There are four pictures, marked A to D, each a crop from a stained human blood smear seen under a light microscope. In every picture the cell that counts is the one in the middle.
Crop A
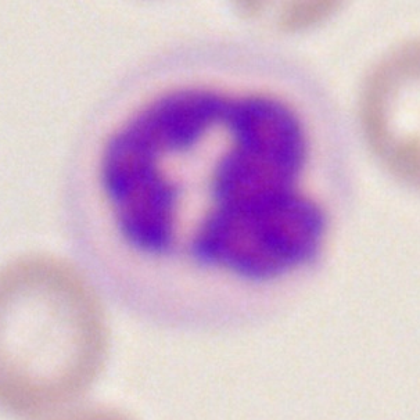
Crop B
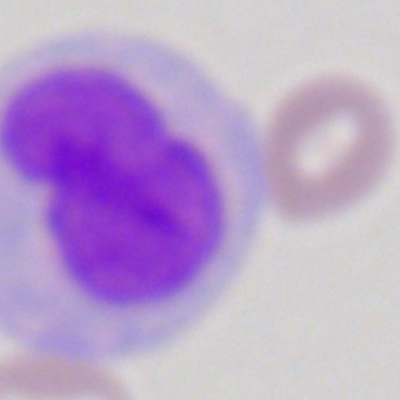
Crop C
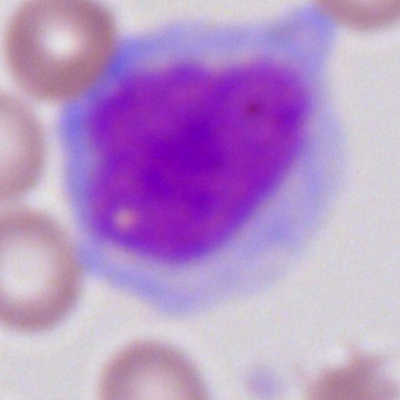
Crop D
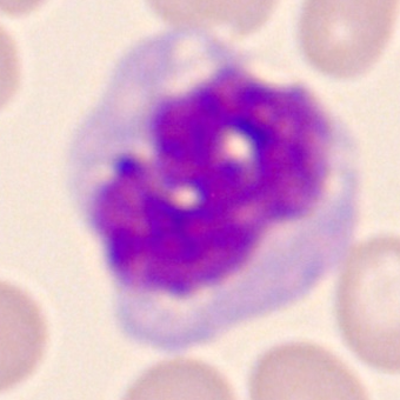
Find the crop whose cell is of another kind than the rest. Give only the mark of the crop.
A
